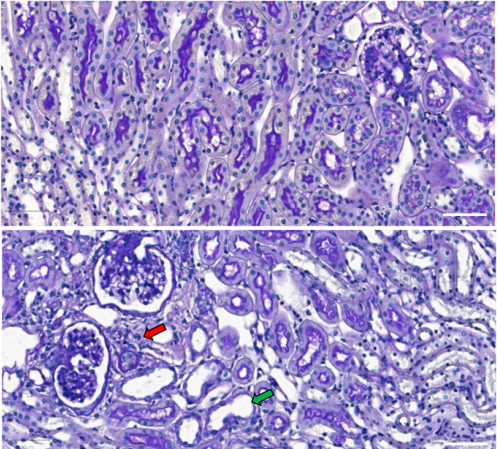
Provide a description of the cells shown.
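Rounded glomeruli with densely packed tufts sit among the tubules, one at the right edge of the upper image and two at the left of the lower image. In the upper image the tubules are closely packed with intact, plump epithelium and little space between them. In the lower image several tubules have wide, pale lumens lined by thin, flattened epithelial cells. Small, dark, round nuclei gather in the interstitium between tubules next to a glomerulus in the lower image, consistent with inflammatory cells.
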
